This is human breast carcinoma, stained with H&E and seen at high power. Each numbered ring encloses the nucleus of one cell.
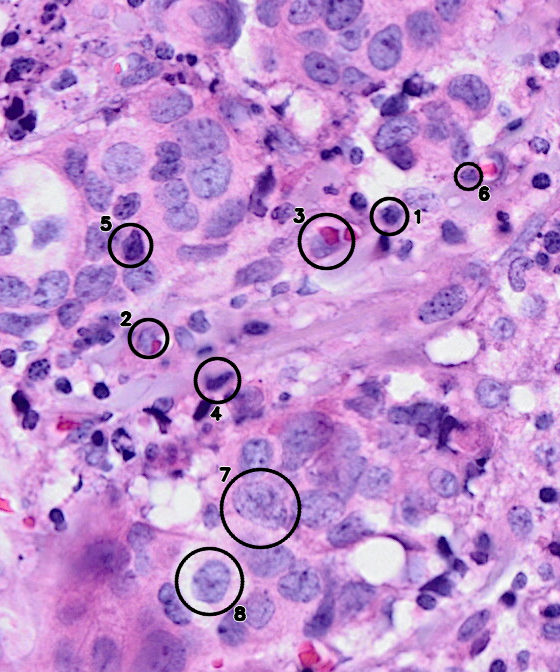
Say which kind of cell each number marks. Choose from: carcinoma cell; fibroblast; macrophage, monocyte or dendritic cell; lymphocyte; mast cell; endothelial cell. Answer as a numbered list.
1. lymphocyte
2. endothelial cell
3. endothelial cell
4. lymphocyte
5. carcinoma cell
6. endothelial cell
7. carcinoma cell
8. carcinoma cell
